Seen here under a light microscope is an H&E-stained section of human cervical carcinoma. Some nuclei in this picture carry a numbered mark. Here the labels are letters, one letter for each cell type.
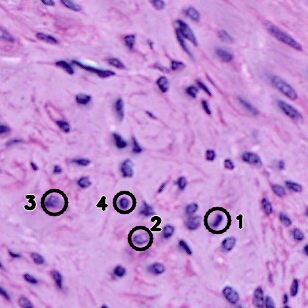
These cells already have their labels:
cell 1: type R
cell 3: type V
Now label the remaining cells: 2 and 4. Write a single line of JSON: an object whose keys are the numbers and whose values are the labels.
{"2": "type V", "4": "type R"}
